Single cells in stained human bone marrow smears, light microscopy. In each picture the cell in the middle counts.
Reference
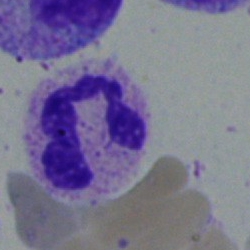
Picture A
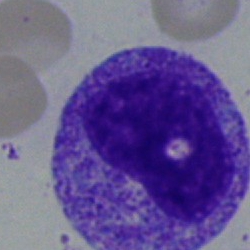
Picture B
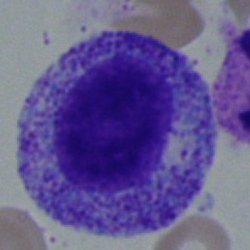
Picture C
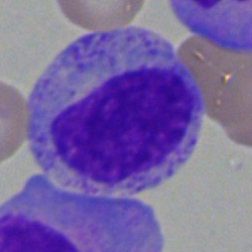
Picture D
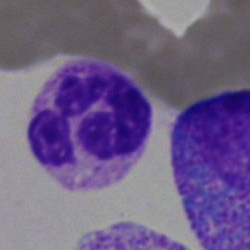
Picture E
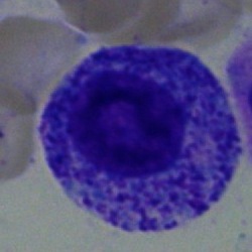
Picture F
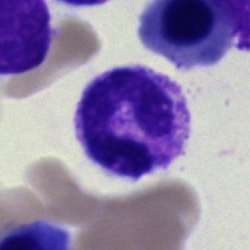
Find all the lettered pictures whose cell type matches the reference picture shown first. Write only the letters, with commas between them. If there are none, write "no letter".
D, F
